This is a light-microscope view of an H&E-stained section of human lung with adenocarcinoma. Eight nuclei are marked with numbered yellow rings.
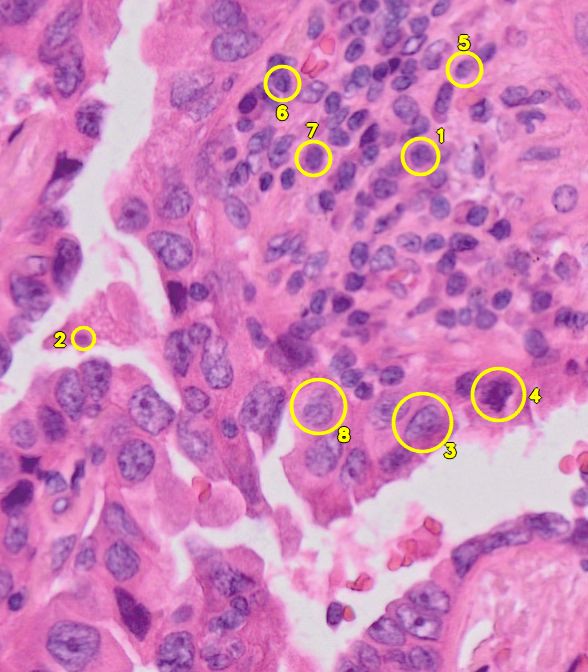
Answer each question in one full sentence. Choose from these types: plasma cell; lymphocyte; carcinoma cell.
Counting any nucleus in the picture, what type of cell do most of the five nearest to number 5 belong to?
Around number 5, most of the five nearest nuclei are those of plasma cells.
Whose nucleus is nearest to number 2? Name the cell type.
It is a carcinoma cell whose nucleus is nearest to number 2.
